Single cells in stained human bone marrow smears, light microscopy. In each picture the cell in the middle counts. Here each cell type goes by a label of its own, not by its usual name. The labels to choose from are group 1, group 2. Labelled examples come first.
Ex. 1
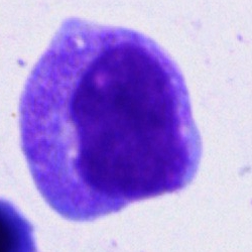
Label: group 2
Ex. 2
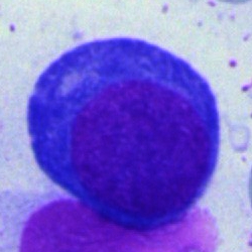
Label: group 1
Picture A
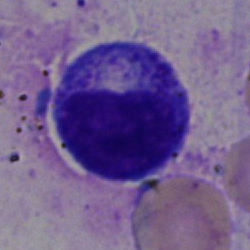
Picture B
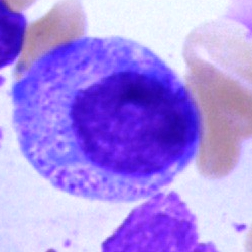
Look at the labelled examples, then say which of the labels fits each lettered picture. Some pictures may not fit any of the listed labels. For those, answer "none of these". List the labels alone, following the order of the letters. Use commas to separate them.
none of these, group 2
